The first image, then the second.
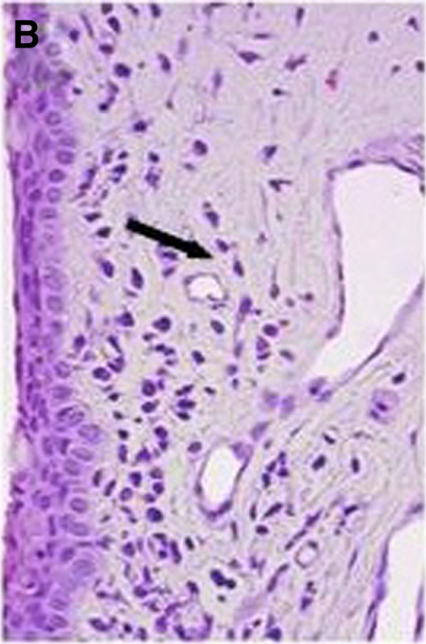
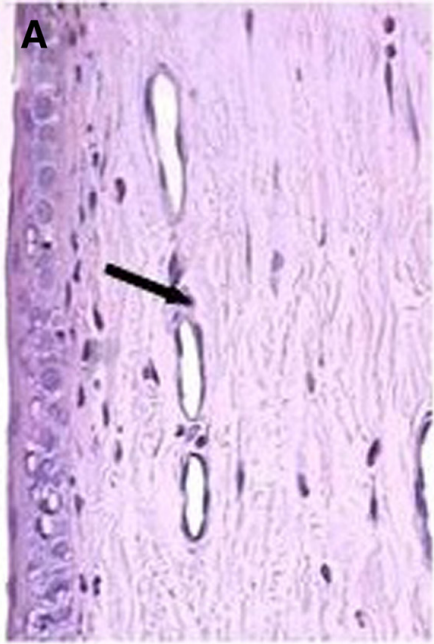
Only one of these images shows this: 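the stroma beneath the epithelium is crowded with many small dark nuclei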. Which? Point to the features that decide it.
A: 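First image: dense scattering of dark nuclei throughout the stroma around the vessels. Second image: pale fibrous stroma with only a few sparse elongated nuclei.
Conclusion: the first image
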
